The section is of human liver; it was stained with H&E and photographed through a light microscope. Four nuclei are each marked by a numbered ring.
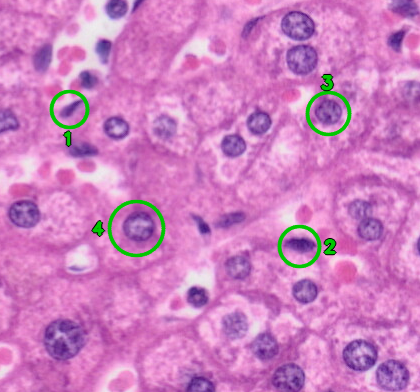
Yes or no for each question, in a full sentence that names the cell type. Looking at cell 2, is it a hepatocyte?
No, at number 2 sits a fibroblast or stellate cell, not a hepatocyte.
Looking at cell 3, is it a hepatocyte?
Yes, the marked cell number 3 is a hepatocyte.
